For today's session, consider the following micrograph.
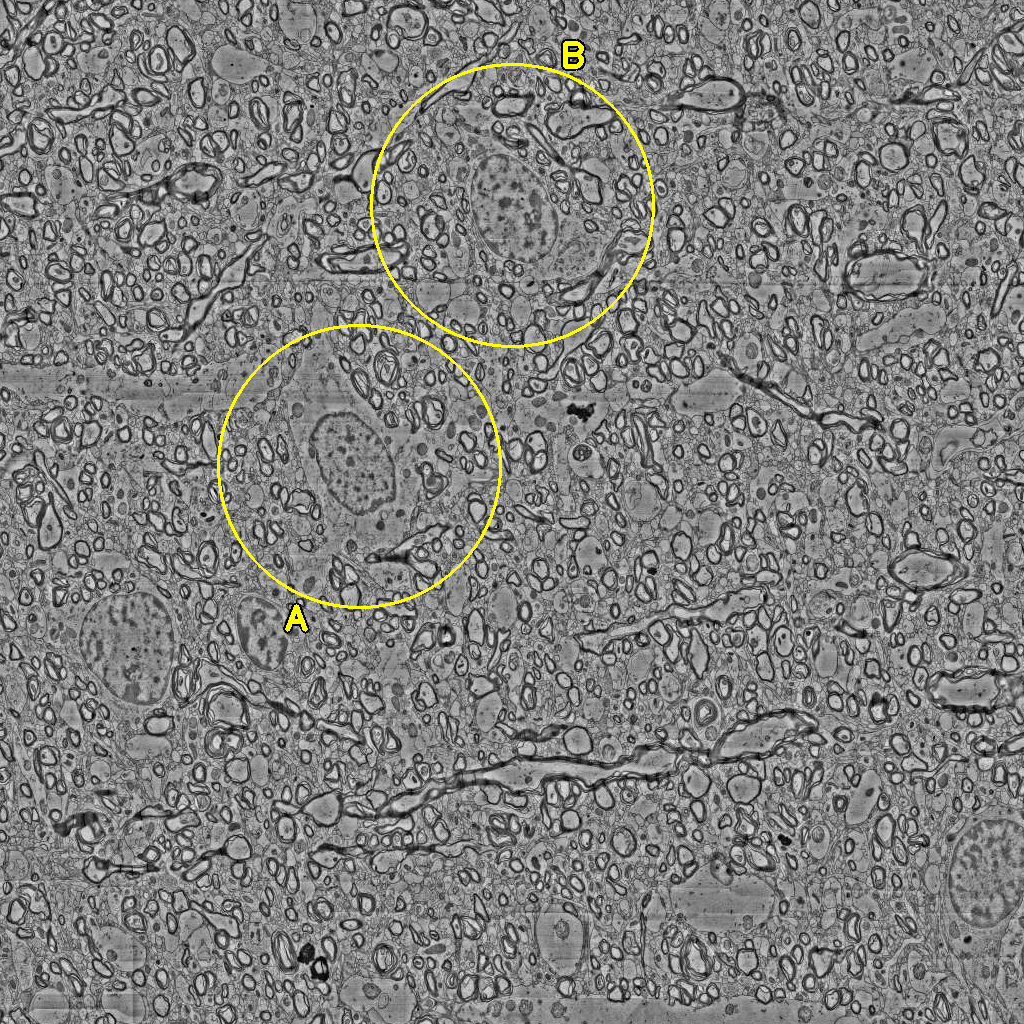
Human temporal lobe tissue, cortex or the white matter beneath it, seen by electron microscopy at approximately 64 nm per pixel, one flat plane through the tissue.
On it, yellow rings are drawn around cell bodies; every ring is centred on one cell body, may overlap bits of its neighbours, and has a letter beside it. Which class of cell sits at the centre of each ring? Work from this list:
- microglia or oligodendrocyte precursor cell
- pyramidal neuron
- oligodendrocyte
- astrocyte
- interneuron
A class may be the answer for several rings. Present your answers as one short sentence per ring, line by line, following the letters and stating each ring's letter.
Ring A centres on an astrocyte.
Ring B centres on a microglial cell or oligodendrocyte precursor cell.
